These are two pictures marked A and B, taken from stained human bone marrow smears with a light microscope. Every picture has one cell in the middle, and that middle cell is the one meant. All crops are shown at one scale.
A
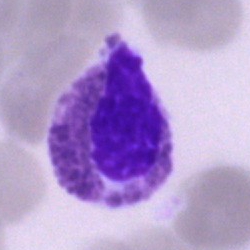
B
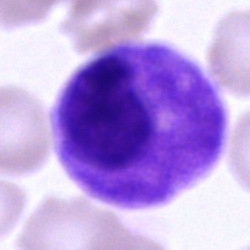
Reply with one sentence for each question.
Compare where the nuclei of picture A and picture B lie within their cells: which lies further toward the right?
It is the nucleus in picture A that lies further toward the right of its cell.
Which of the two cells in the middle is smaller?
Picture A holds the smaller cell, since the cell in picture B covers about 1.5 times as much area.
